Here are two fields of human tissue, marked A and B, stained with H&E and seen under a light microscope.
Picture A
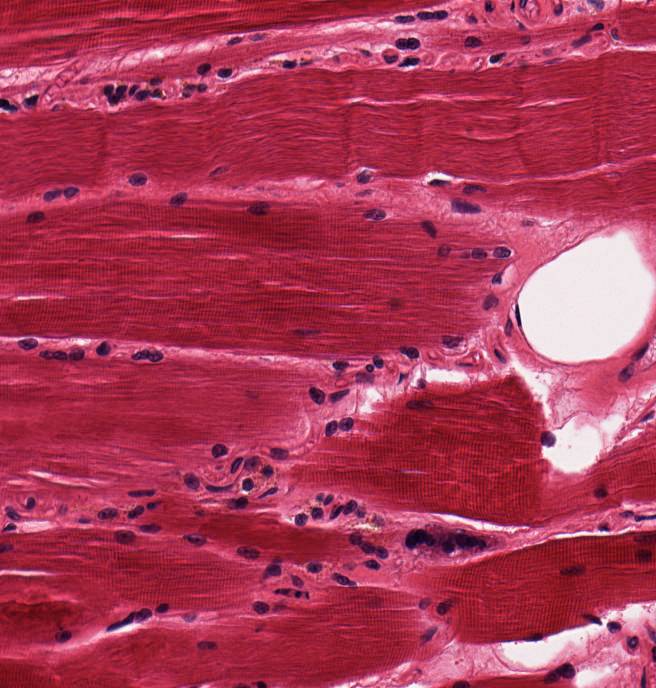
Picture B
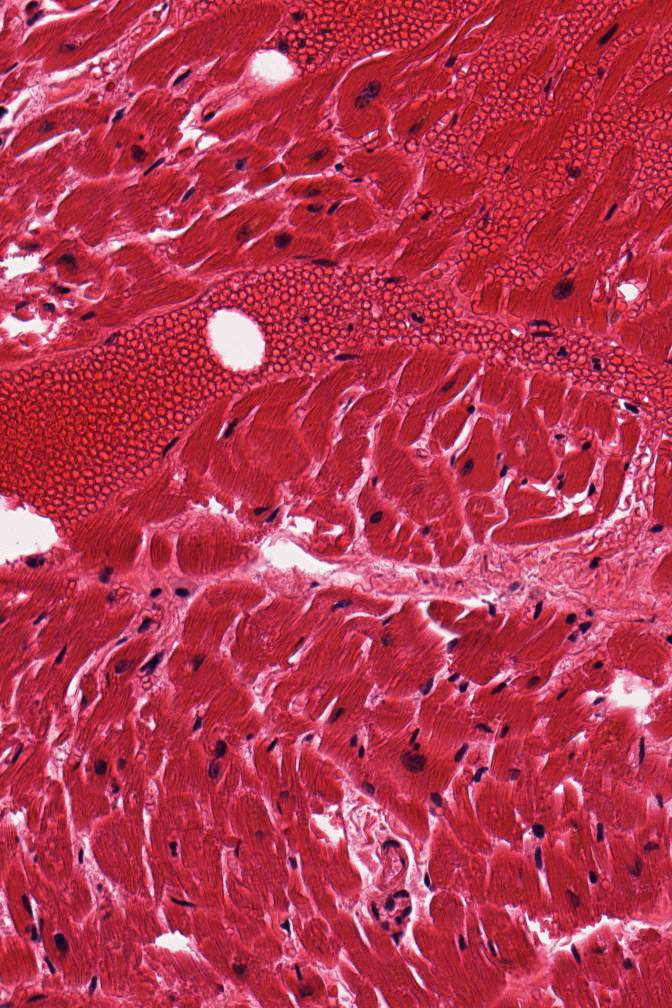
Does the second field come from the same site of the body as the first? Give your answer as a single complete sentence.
No. Picture A comes from skeletal muscle, whereas picture B comes from the left ventricle of the heart.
